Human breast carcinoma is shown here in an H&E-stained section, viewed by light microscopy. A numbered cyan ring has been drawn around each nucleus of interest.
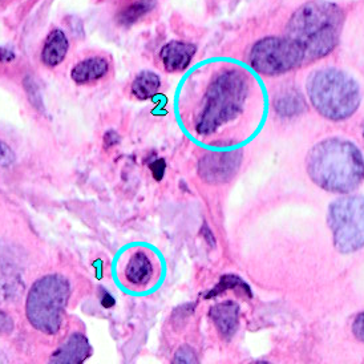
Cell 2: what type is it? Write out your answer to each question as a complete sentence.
It is as a carcinoma cell that the cell numbered 2 is identified.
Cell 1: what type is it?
In the marked set, the cell given number 1 is a mast cell.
